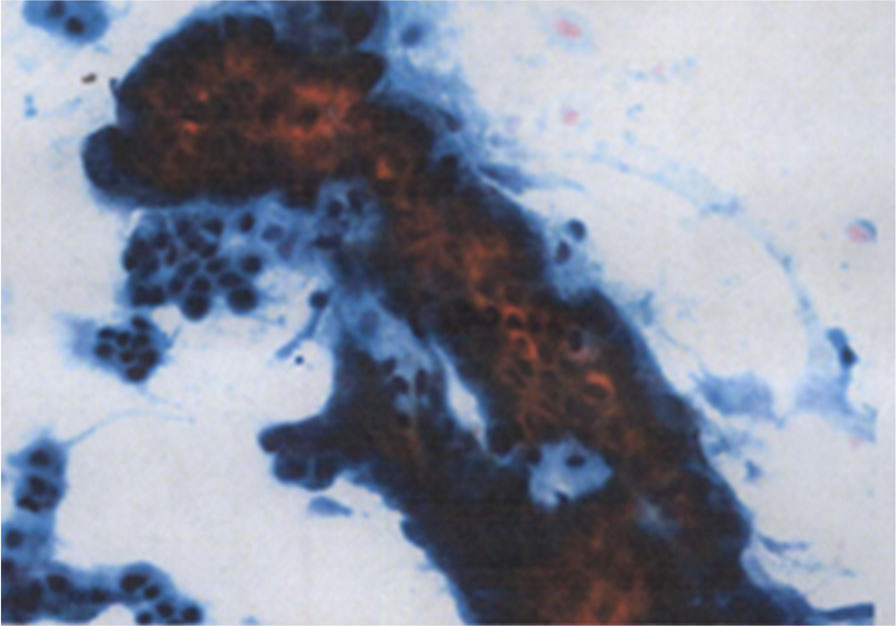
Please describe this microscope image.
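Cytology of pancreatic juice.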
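Smaller loose groups of small, round, dark nuclei lie beside the cluster. The background is pale, with faint blue strands of material.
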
